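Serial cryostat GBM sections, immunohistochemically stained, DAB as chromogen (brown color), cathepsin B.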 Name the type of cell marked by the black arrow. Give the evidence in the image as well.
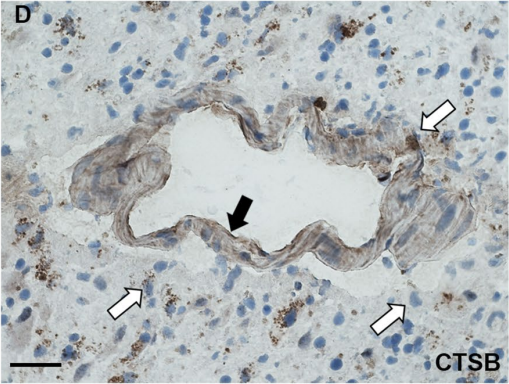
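Endothelial cells. The black arrow points to the inner surface of the vessel wall bordering the lumen. Flattened nuclei lie along the luminal edge.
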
